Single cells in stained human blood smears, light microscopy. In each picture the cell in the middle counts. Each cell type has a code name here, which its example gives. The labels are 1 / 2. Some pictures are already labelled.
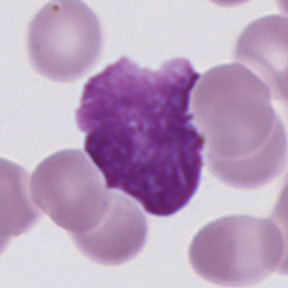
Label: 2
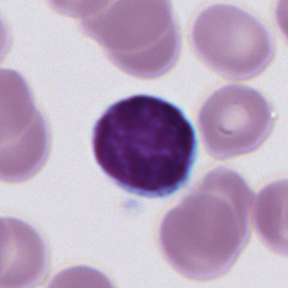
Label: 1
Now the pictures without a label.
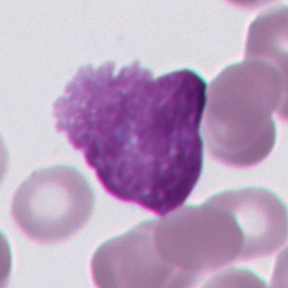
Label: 2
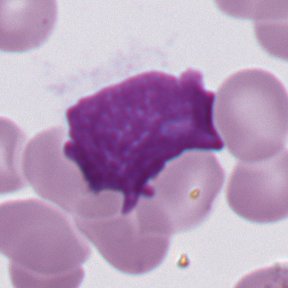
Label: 2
